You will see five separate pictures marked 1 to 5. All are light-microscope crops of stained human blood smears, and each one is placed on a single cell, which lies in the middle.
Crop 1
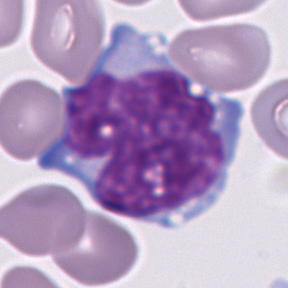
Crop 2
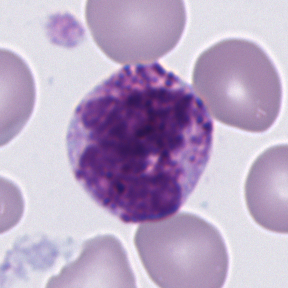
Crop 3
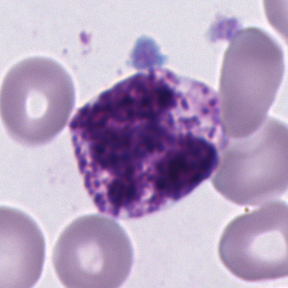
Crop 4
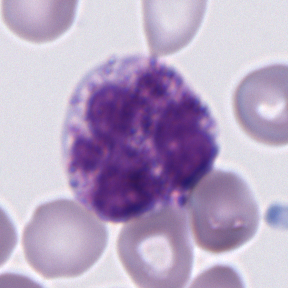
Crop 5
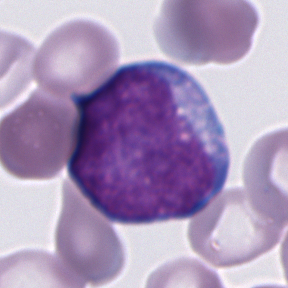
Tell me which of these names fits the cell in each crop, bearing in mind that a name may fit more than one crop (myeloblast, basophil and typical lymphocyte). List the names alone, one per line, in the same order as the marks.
myeloblast
basophil
basophil
basophil
myeloblast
